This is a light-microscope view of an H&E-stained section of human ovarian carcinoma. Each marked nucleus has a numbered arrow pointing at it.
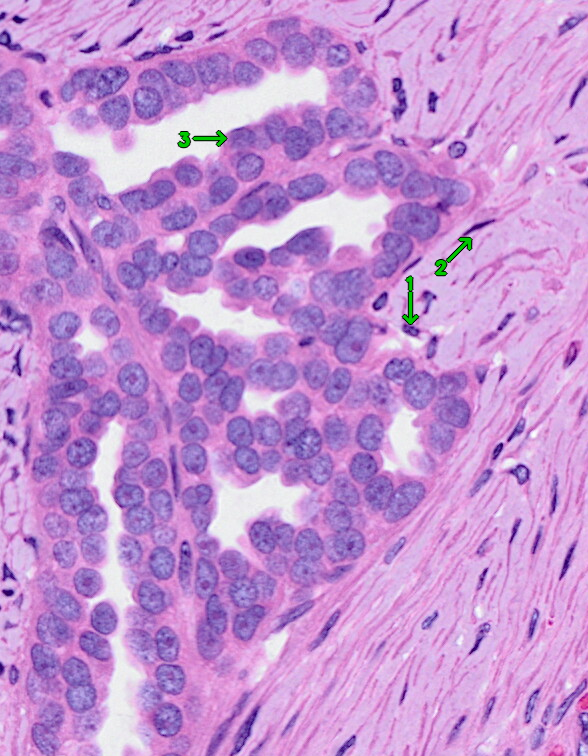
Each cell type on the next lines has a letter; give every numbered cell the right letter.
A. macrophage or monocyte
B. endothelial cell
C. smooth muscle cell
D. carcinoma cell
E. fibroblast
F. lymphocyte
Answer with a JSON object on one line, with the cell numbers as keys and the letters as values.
{"1": "E", "2": "E", "3": "D"}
